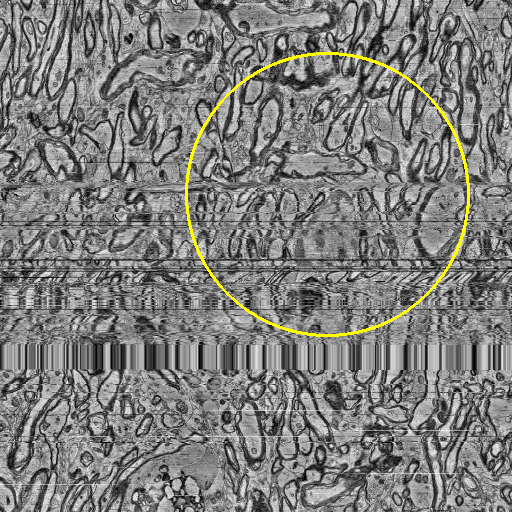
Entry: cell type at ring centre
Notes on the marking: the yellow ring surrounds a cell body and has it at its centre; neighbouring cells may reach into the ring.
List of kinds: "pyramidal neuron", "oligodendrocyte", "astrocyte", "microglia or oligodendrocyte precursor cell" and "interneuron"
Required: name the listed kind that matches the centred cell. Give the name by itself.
microglia or oligodendrocyte precursor cell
